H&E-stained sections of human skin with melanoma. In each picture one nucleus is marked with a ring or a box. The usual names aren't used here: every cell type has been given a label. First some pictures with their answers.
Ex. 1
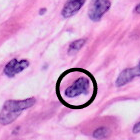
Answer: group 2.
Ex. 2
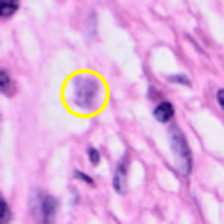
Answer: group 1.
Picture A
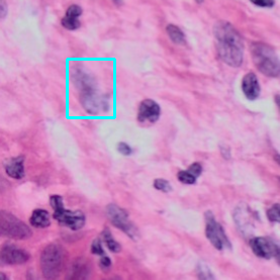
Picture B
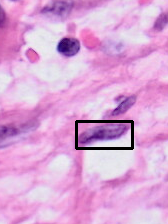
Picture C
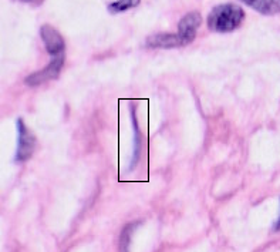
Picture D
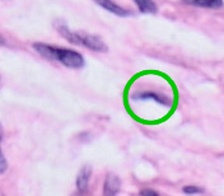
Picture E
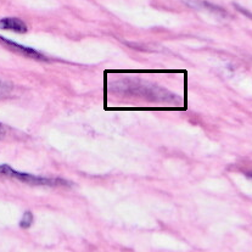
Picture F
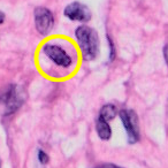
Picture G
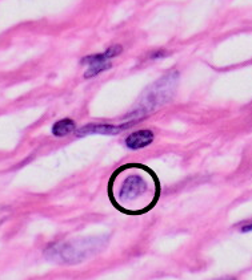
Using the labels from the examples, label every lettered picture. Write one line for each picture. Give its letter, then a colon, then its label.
A: group 1.
B: group 1.
C: group 1.
D: group 1.
E: group 1.
F: group 2.
G: group 2.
